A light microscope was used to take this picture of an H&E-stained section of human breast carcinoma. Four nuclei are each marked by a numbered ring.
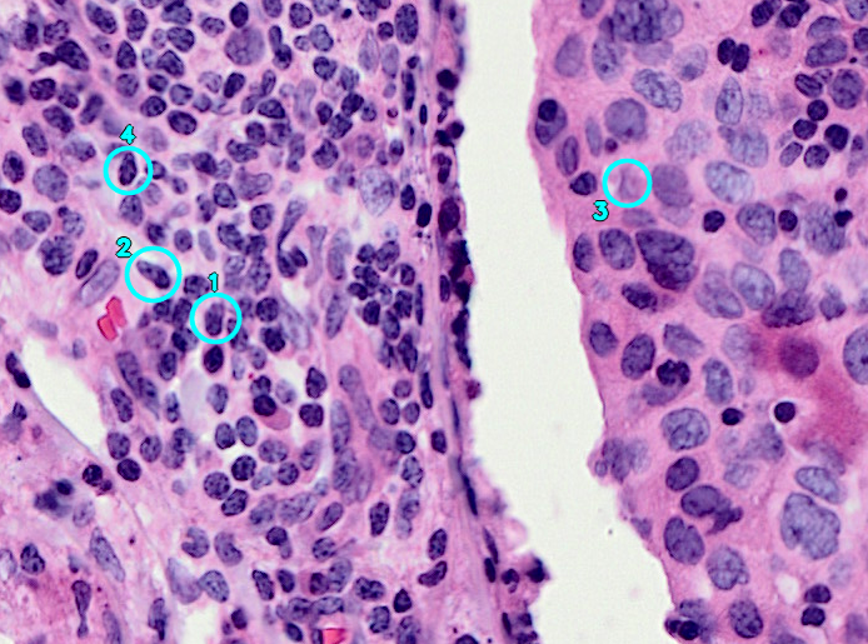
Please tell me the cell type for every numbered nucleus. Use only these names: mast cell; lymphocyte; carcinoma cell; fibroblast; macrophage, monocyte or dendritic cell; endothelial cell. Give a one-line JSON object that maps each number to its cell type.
{"1": "lymphocyte", "2": "lymphocyte", "3": "carcinoma cell", "4": "lymphocyte"}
